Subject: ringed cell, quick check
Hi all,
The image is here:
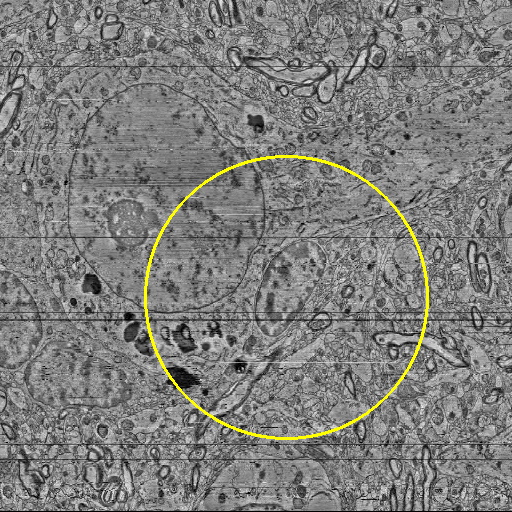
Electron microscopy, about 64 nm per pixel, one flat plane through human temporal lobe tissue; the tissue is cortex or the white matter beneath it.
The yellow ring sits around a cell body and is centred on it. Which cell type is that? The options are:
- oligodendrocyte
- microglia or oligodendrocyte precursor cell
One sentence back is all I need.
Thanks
That ringed cell is a microglial cell or oligodendrocyte precursor cell.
